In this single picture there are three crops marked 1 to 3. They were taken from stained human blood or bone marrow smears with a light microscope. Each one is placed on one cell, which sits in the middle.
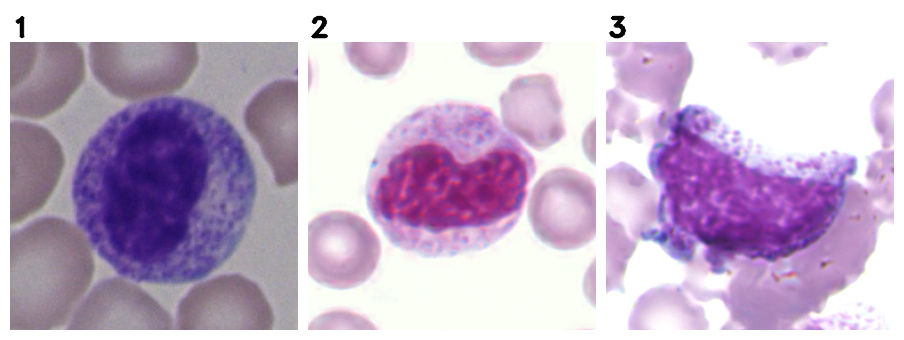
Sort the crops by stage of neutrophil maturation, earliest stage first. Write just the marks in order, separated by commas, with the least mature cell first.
3, 1, 2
